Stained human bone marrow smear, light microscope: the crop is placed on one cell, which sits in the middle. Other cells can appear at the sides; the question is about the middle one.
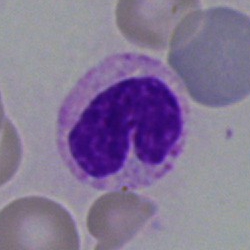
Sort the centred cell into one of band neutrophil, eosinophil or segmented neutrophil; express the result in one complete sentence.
The cell marked by its central position in the crop is a band neutrophil.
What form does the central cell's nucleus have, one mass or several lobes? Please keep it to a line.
What stands out is a nucleus forming one compact round, oval or kidney-shaped mass.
